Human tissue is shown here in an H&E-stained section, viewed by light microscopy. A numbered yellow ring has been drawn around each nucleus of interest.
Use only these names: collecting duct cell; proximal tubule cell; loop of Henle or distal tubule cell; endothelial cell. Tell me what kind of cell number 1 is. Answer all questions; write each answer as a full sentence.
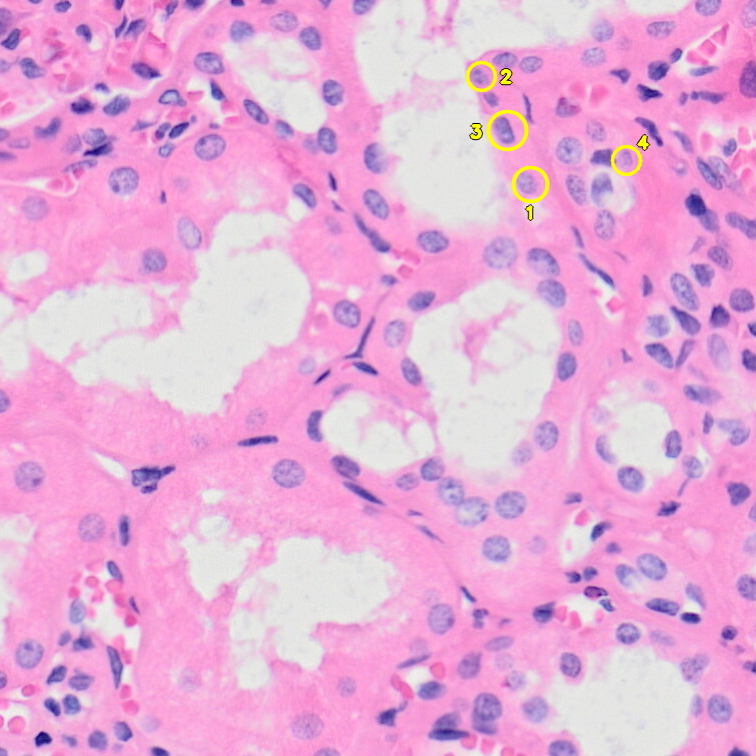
Number 1 among the marked cells is a loop of Henle or distal tubule cell.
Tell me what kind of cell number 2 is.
The nucleus marked 2 is the nucleus of a loop of Henle or distal tubule cell.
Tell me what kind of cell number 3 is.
Here, the cell given the number 3 is a loop of Henle or distal tubule cell.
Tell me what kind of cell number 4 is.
The numeral 4 marks a collecting duct cell in this section.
